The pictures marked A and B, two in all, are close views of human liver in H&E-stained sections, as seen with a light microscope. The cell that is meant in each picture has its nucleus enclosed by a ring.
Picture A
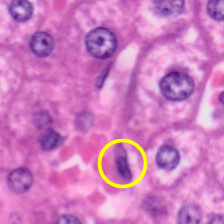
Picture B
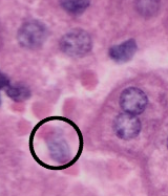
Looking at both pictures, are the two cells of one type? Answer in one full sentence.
Yes, both cells are Kupffer cells.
